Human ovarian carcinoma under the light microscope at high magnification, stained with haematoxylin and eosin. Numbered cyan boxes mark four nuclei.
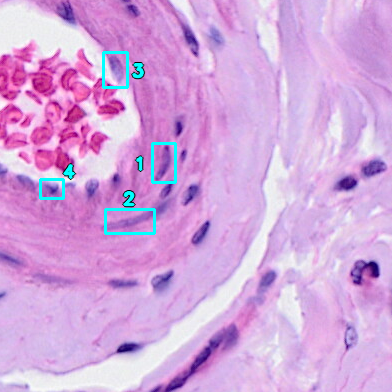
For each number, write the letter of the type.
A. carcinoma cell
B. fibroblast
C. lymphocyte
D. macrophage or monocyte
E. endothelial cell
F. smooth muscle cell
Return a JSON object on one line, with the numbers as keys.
{"1": "F", "2": "F", "3": "E", "4": "E"}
